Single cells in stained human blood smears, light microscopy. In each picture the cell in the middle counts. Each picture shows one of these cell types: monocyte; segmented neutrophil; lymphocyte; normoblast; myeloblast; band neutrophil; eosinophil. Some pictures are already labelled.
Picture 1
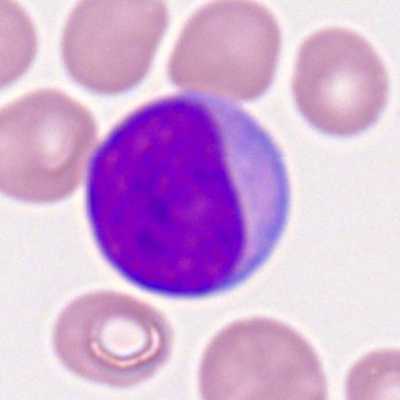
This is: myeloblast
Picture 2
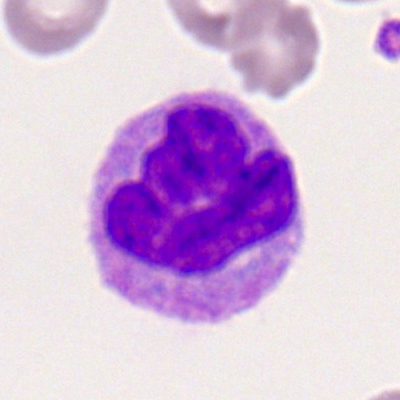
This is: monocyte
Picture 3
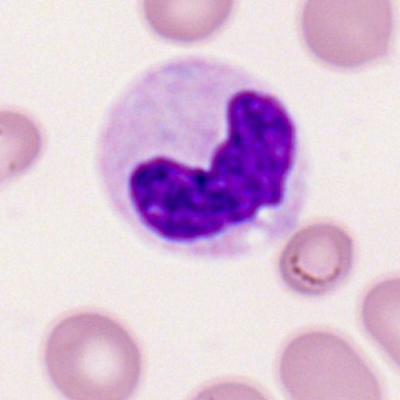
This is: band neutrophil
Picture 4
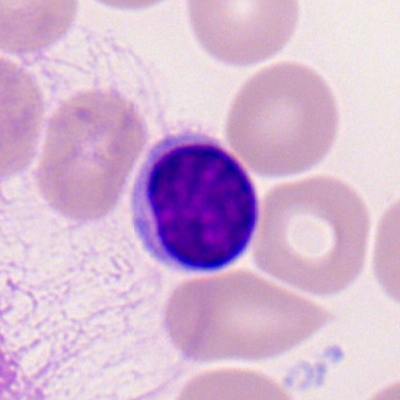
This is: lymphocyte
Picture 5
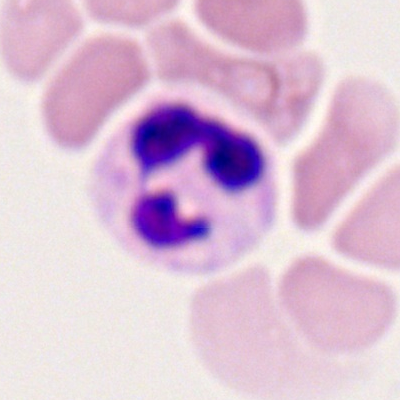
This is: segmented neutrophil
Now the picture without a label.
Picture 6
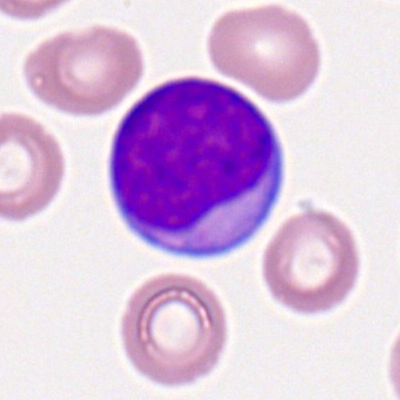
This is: myeloblast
